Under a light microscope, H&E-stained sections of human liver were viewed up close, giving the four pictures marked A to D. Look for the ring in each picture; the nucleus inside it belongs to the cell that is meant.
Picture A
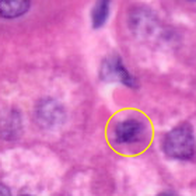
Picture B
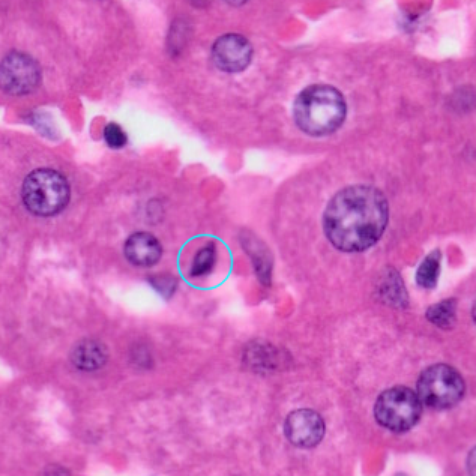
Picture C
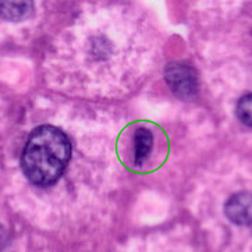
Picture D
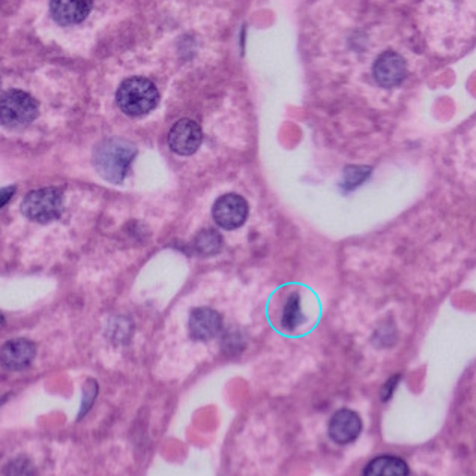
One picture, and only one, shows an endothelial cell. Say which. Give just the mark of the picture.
D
